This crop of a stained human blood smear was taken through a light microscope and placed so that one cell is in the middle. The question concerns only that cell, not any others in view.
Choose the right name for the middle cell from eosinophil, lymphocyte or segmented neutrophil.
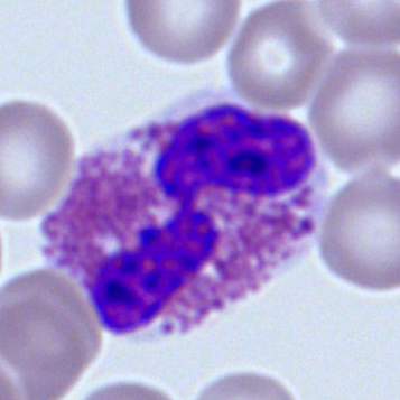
eosinophil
